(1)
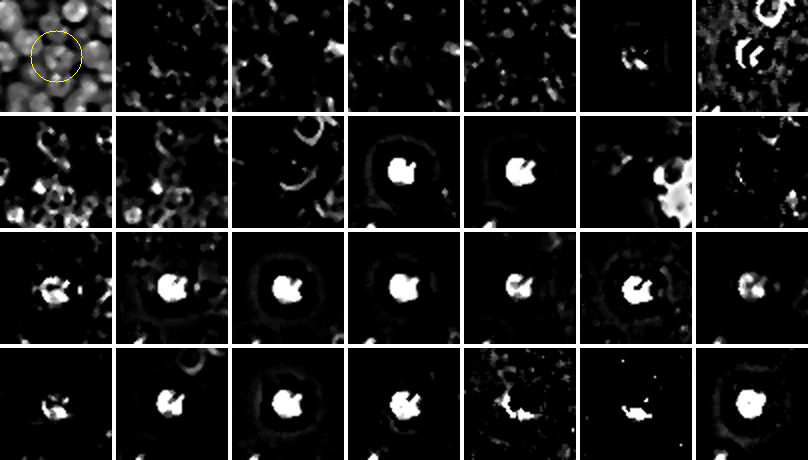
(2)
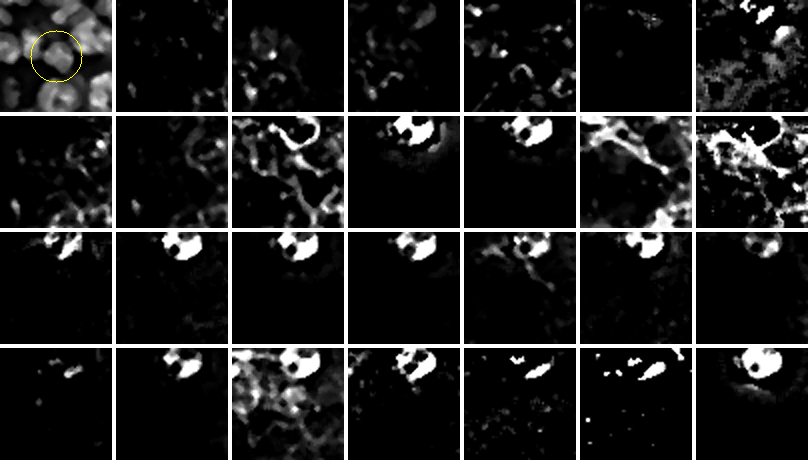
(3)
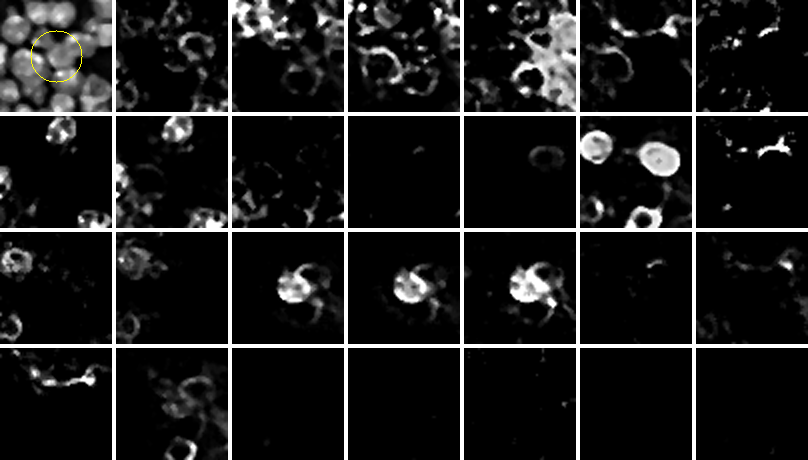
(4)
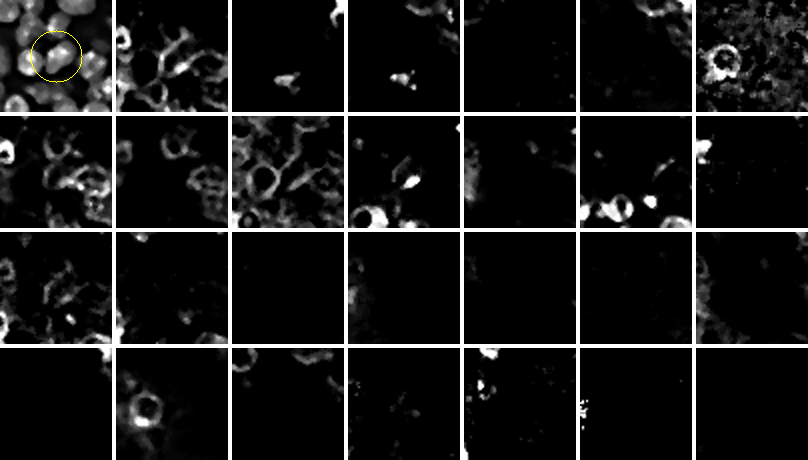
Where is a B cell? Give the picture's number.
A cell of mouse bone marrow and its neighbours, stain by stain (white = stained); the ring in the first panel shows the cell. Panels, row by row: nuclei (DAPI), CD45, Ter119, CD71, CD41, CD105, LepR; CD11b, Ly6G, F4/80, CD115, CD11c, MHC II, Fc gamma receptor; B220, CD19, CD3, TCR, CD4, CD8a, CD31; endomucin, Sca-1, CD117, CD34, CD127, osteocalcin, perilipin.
1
